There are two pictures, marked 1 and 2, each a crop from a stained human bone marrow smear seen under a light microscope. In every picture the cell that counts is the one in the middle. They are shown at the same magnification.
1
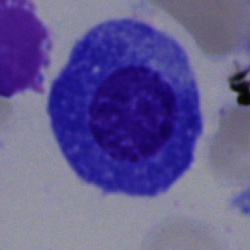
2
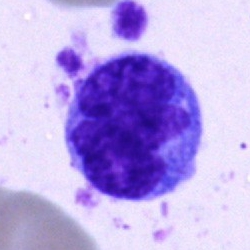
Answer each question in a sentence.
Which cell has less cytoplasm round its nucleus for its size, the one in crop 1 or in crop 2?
The nucleus fills more of the cell in crop 2 than in crop 1.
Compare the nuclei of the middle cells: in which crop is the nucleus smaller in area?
Crop 1 shows the smaller nucleus, since that in crop 2 covers about 1.5 times as much area.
